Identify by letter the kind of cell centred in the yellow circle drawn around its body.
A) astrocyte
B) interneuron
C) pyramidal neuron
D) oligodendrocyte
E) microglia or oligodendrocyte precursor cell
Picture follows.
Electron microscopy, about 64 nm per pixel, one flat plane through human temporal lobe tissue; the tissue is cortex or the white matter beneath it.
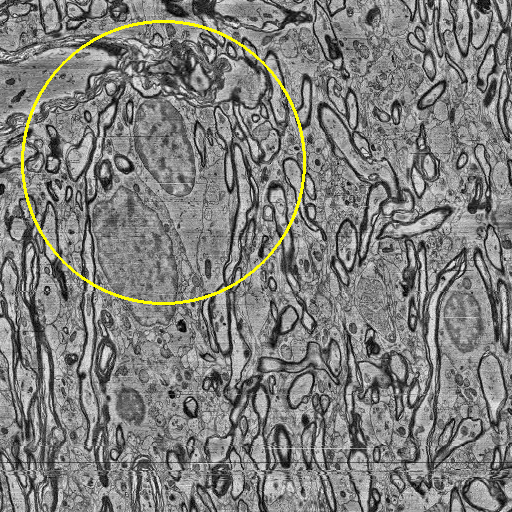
E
